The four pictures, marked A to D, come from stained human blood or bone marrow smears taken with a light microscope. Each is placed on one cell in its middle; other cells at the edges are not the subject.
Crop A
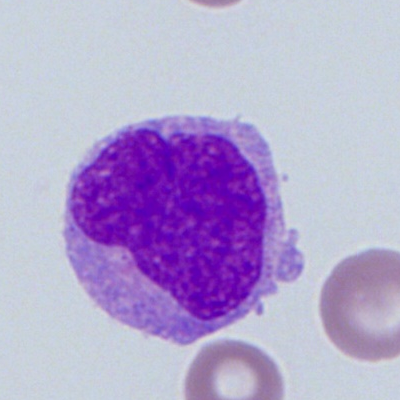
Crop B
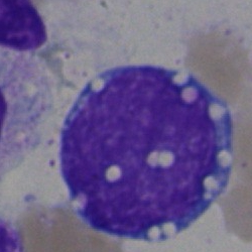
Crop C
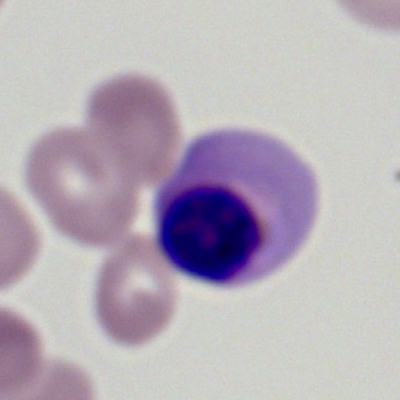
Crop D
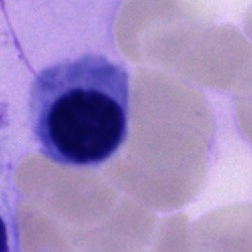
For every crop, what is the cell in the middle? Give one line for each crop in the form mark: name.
A: blast
B: blast
C: erythroblast
D: erythroblast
